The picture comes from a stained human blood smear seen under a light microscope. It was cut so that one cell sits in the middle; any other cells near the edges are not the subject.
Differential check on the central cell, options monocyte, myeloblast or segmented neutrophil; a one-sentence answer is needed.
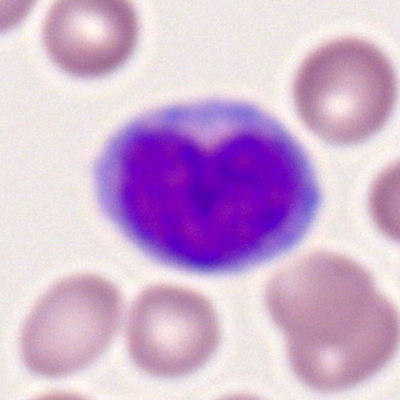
Occupying the centre of the crop is a monocyte.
